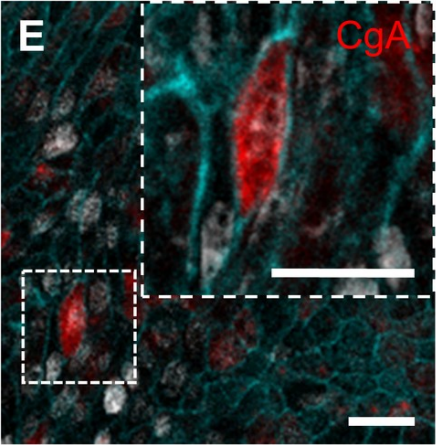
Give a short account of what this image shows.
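The cell is spindle-shaped and its cytoplasm is filled with granular red signal, set among polygonal neighbouring cells whose borders are outlined in cyan. Grey nuclei of the surrounding epithelial cells lie close beside it, and fainter red signal is seen elsewhere in the sheet.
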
